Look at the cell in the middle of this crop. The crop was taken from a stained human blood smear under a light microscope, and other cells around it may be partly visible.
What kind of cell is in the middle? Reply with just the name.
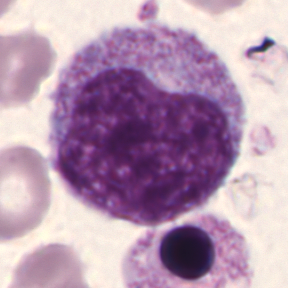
promyelocyte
